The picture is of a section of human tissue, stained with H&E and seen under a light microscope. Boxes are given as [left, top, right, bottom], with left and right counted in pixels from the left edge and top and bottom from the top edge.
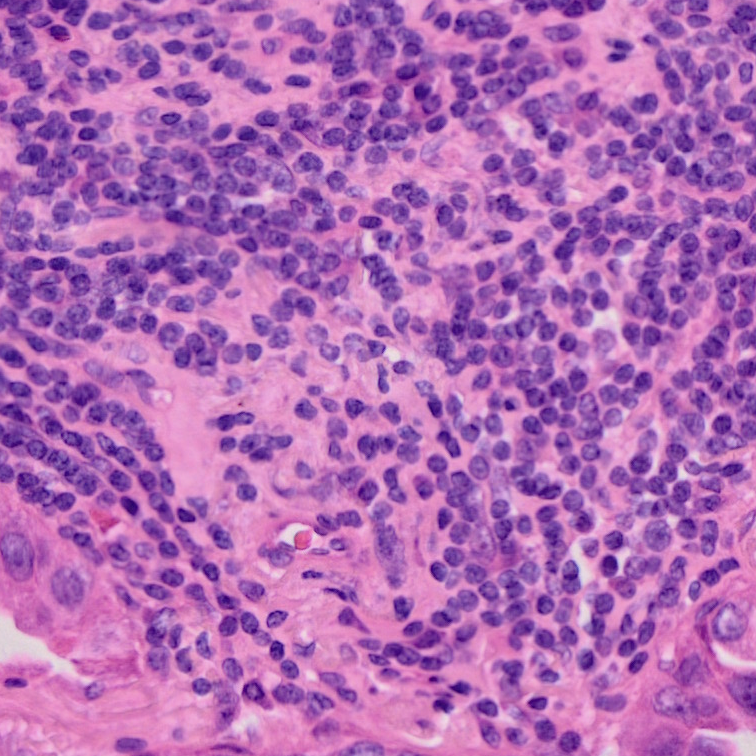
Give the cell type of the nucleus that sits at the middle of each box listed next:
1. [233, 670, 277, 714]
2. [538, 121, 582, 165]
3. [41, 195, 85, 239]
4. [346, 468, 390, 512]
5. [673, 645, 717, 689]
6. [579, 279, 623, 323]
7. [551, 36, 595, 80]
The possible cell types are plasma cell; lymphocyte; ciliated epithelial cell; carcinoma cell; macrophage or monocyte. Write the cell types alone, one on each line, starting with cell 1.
plasma cell
lymphocyte
lymphocyte
plasma cell
carcinoma cell
lymphocyte
plasma cell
